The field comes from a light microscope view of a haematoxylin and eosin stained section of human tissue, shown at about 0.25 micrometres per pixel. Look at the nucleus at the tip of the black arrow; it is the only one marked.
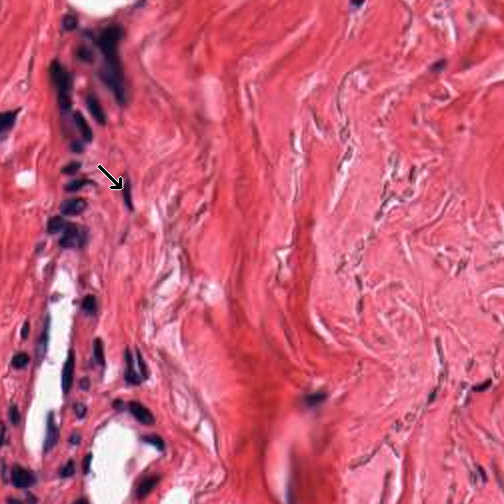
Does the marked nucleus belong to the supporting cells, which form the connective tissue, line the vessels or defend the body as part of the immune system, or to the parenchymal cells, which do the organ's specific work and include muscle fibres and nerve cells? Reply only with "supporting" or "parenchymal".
supporting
